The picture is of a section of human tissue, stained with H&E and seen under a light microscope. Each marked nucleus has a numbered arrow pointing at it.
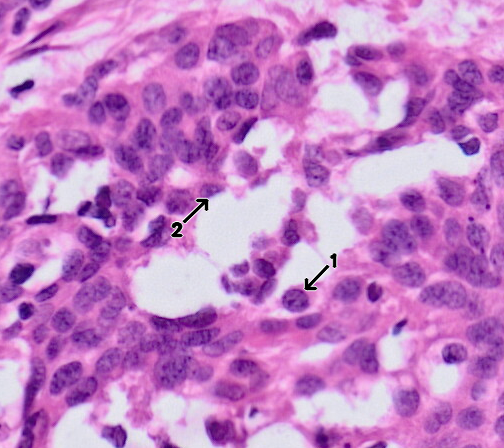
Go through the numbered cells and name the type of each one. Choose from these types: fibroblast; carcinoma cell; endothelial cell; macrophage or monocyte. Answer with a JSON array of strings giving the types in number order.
["macrophage or monocyte", "carcinoma cell"]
